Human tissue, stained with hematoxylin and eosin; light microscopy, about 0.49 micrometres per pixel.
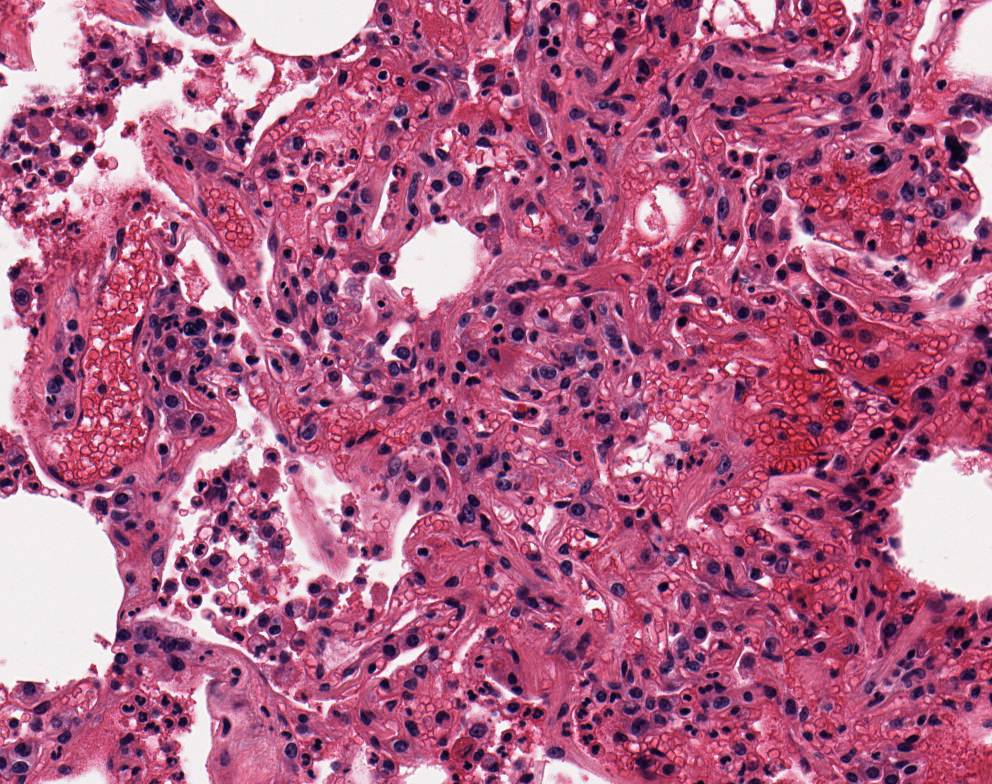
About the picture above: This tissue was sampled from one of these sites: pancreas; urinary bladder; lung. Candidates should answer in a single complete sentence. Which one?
Tissue for this section was sampled from the lung.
